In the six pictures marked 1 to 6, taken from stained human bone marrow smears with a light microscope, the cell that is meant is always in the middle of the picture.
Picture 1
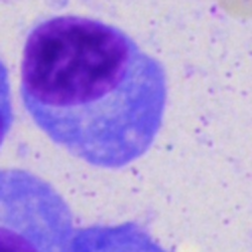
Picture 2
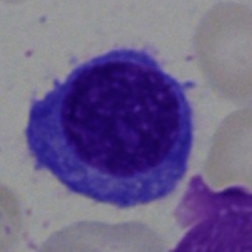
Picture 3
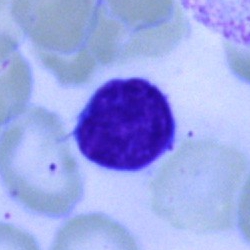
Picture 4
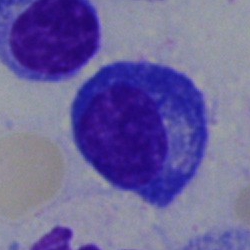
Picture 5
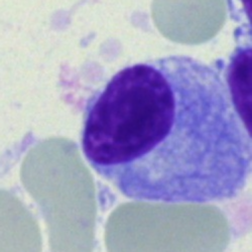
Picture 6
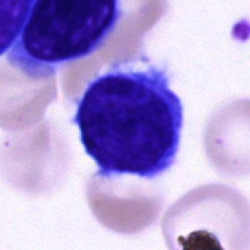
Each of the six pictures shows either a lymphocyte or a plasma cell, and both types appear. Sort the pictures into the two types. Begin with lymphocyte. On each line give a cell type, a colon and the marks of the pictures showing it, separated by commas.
lymphocyte: 3, 6
plasma cell: 1, 2, 4, 5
